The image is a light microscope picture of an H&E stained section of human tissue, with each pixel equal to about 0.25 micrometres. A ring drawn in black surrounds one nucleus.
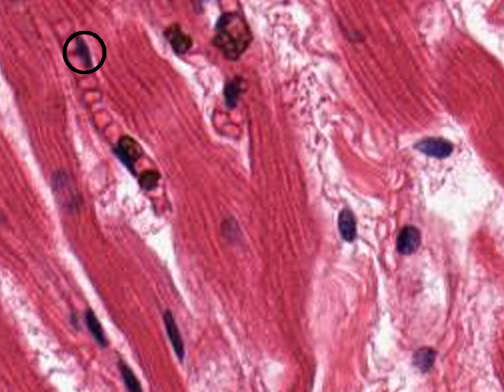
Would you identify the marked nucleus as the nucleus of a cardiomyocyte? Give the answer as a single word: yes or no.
no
